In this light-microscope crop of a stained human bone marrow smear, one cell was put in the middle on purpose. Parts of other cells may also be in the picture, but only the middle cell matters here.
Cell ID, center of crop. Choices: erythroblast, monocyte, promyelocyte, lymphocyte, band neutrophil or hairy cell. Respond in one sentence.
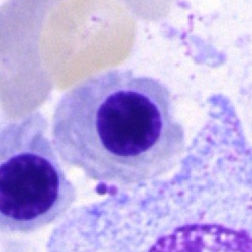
Of the cells in this crop, the central one is an erythroblast.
